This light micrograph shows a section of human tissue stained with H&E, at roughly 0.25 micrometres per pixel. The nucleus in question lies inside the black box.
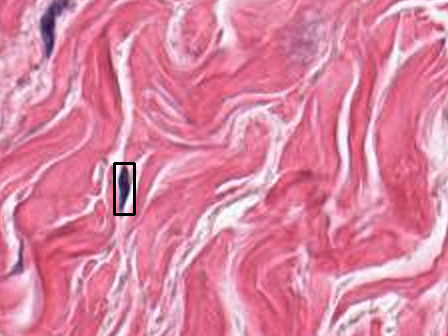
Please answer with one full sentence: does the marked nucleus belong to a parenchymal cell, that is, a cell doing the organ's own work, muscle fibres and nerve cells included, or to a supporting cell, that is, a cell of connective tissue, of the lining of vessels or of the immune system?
Held by a supporting cell is the marked nucleus in this section.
